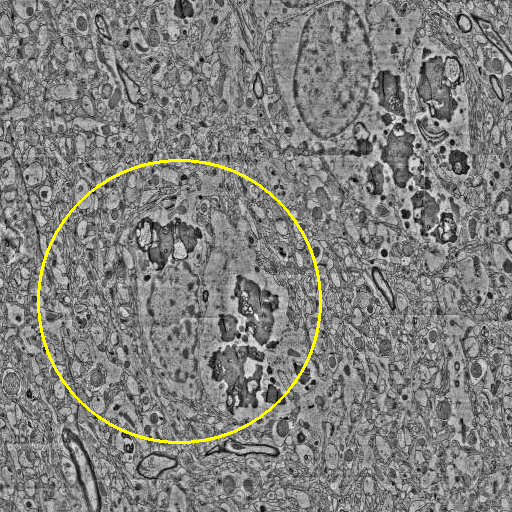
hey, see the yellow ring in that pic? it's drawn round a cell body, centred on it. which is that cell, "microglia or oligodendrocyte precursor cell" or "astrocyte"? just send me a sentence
The cell in the ring is an astrocyte.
